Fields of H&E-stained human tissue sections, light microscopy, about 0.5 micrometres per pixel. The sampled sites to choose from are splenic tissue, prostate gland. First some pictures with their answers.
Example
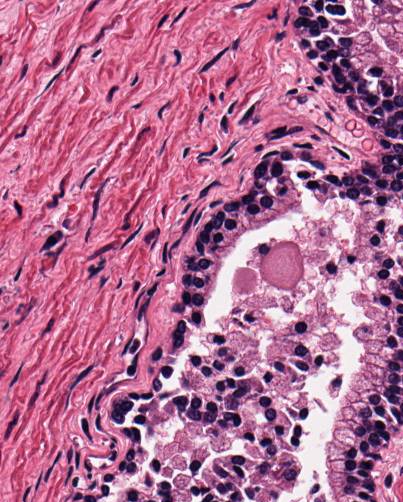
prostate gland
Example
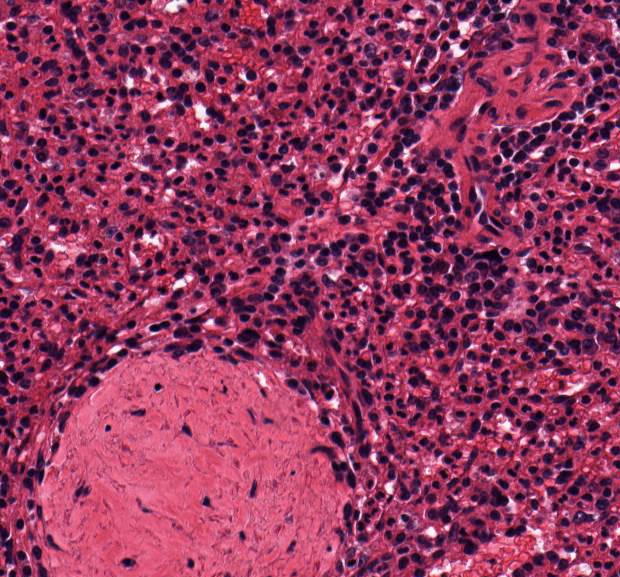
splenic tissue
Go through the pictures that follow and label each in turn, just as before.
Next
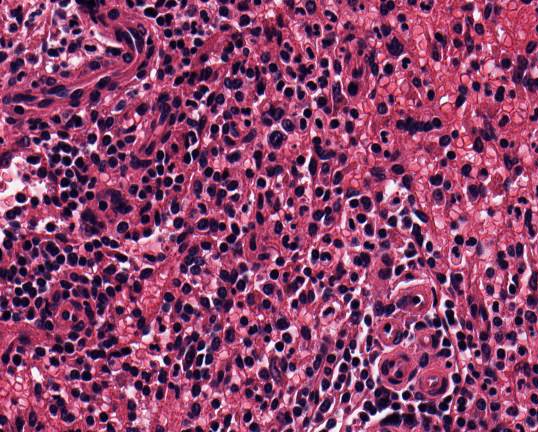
splenic tissue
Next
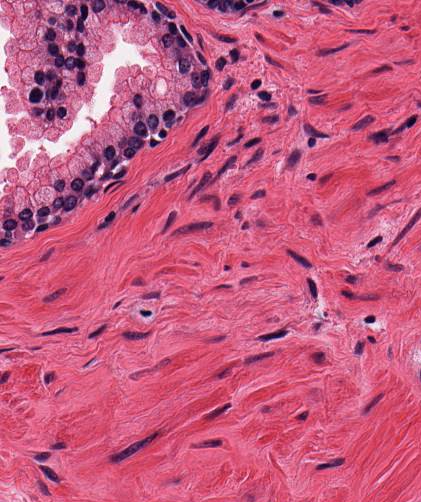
prostate gland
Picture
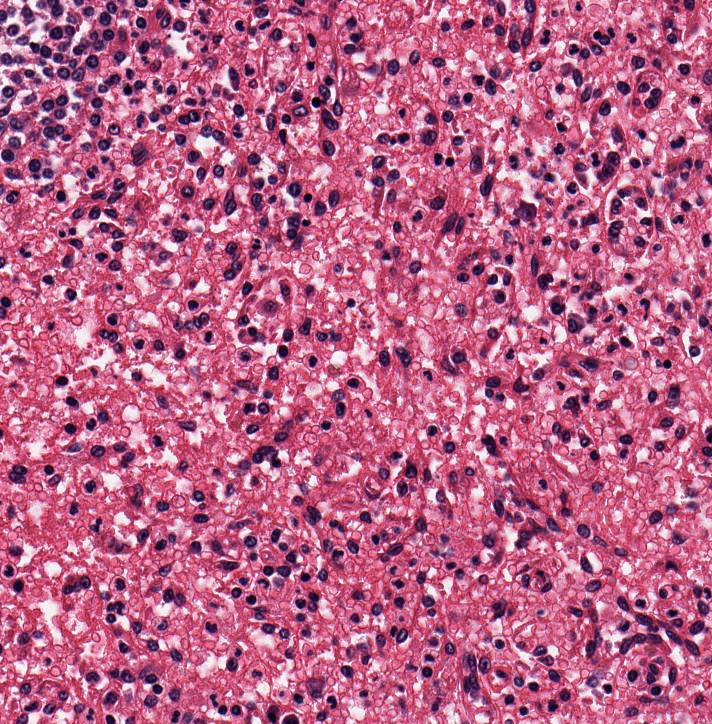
splenic tissue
